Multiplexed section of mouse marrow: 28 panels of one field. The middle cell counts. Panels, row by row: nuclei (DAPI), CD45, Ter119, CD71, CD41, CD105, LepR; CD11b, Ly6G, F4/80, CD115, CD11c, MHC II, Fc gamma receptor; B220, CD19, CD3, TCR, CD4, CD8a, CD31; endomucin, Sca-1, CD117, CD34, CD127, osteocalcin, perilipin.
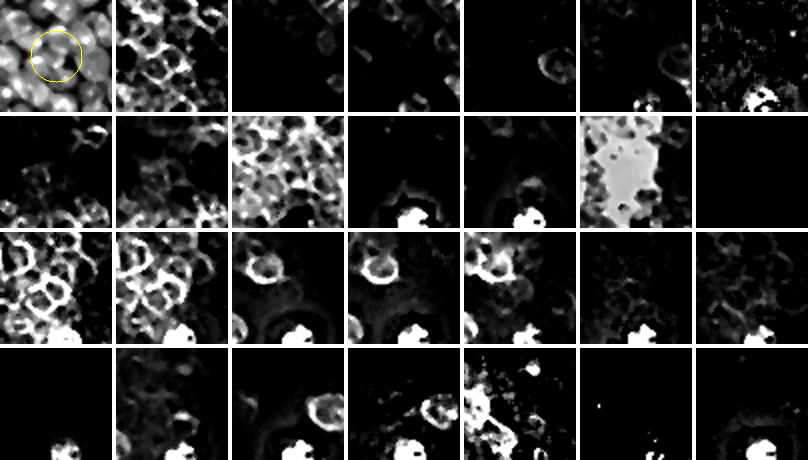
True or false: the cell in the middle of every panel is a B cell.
True.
